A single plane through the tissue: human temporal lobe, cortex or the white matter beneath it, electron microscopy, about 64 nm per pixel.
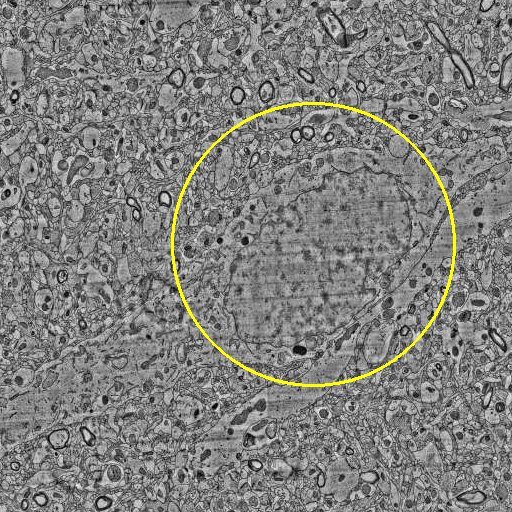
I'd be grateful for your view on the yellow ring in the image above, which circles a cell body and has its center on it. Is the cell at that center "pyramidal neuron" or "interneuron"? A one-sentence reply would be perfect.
The cell at the center of the yellow ring is an interneuron.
